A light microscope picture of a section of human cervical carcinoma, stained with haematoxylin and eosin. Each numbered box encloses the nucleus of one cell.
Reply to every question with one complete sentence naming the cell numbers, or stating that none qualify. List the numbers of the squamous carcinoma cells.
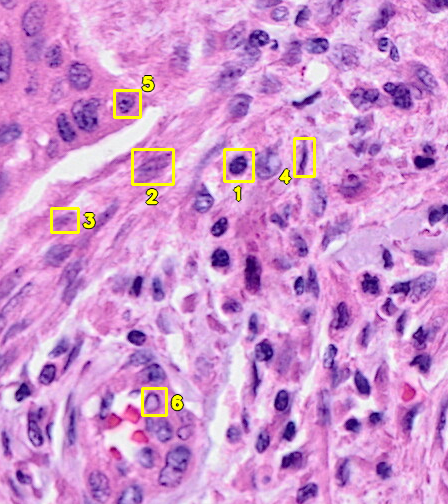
Only the cell with number 5 is a squamous carcinoma cell.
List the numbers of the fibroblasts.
The cells shown with numbers 2, 3 and 4 are fibroblasts.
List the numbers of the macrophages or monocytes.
Sorry, but none of the numbered cells are macrophages or monocytes.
